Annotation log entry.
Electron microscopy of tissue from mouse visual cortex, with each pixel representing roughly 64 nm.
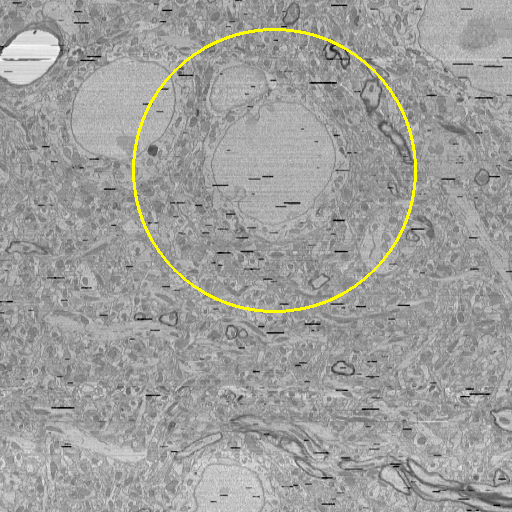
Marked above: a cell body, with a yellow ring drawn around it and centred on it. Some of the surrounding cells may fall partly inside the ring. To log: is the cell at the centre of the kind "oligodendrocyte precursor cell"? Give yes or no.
No, the cell at the centre is of another kind.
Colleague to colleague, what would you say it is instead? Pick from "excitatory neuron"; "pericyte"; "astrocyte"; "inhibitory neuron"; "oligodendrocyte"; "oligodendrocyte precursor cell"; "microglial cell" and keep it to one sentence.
At the centre of the ring sits an excitatory neuron.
